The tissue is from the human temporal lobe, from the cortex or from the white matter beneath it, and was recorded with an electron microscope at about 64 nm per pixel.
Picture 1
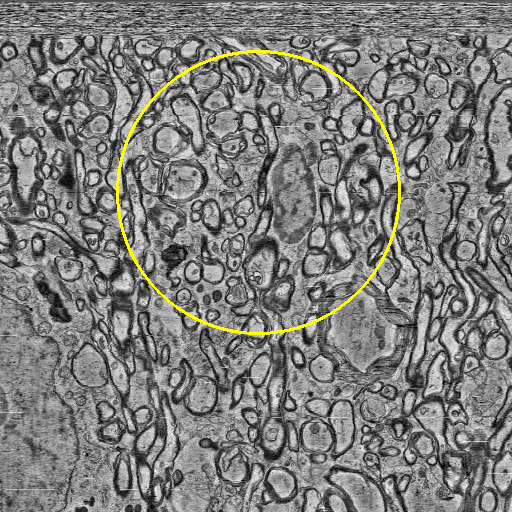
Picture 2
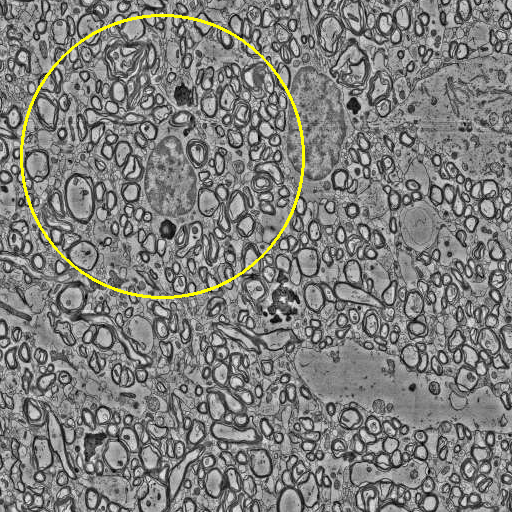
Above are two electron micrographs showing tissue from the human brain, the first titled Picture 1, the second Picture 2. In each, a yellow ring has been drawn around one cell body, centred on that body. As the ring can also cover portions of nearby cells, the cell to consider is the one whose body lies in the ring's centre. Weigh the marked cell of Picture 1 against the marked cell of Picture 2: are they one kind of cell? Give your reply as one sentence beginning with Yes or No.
No, the two cells sitting at the ring centres in the pictures are of two kinds.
